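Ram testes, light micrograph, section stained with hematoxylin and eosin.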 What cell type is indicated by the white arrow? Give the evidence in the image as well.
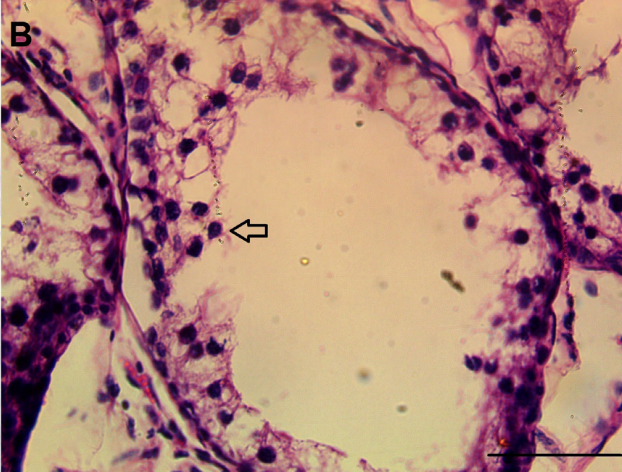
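The arrow points to a round cell with a dark, round nucleus lying away from the tubule wall toward the lumen. The tubule has a wide lumen with loose pale pink strands. No elongated spermatids are seen. The answer: spermatocytes.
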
